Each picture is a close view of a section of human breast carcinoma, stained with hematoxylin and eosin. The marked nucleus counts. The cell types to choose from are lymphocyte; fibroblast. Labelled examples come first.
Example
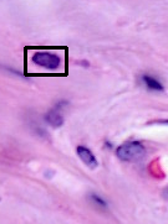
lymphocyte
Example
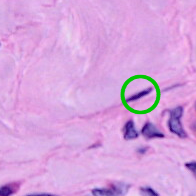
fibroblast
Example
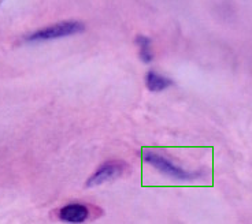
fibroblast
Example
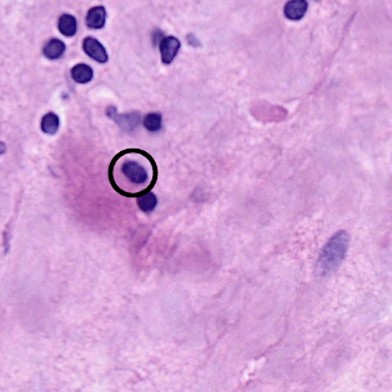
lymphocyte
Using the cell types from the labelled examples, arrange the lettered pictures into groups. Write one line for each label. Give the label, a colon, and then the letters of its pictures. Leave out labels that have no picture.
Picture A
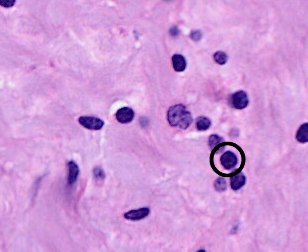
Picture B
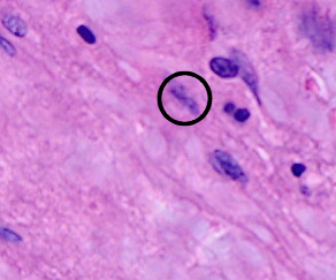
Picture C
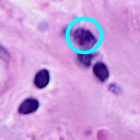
lymphocyte: A, C
fibroblast: B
